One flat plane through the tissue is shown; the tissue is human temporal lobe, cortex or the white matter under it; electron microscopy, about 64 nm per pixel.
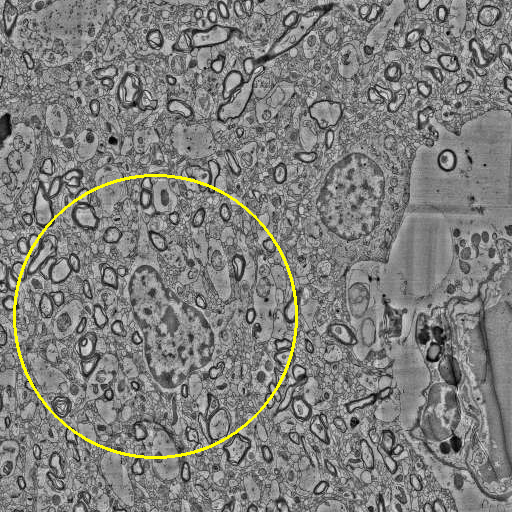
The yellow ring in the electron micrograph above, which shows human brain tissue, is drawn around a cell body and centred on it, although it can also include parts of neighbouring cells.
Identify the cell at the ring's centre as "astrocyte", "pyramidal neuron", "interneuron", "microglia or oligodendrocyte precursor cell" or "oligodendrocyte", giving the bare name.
microglia or oligodendrocyte precursor cell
